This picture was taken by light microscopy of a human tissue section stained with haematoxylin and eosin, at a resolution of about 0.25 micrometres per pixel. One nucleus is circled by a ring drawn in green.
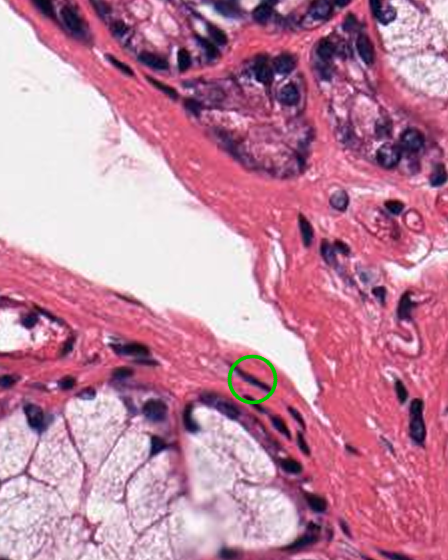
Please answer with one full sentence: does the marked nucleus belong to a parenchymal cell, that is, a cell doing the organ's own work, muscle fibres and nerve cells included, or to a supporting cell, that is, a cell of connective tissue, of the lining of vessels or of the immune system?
Among the cells in view, a supporting cell holds the marked nucleus.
